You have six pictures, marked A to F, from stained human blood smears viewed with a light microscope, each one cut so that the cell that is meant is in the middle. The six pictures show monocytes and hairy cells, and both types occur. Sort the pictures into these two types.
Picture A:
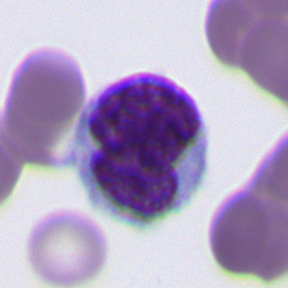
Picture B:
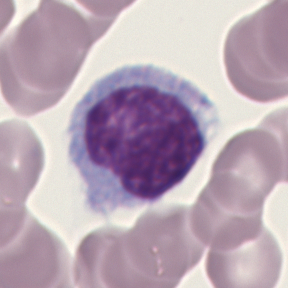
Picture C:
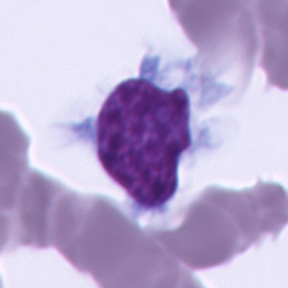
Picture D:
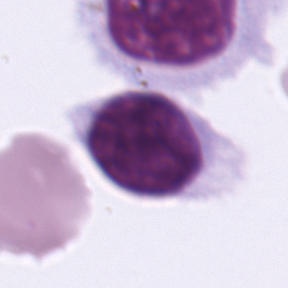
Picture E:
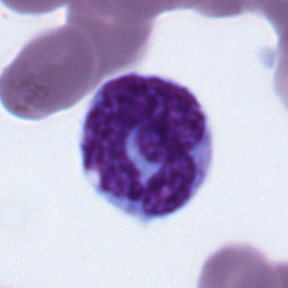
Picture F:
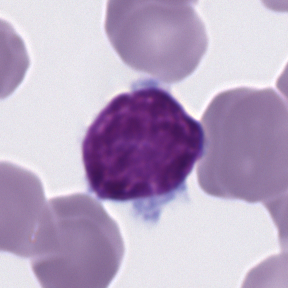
A: monocyte
B: monocyte
C: hairy cell
D: hairy cell
E: monocyte
F: hairy cell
